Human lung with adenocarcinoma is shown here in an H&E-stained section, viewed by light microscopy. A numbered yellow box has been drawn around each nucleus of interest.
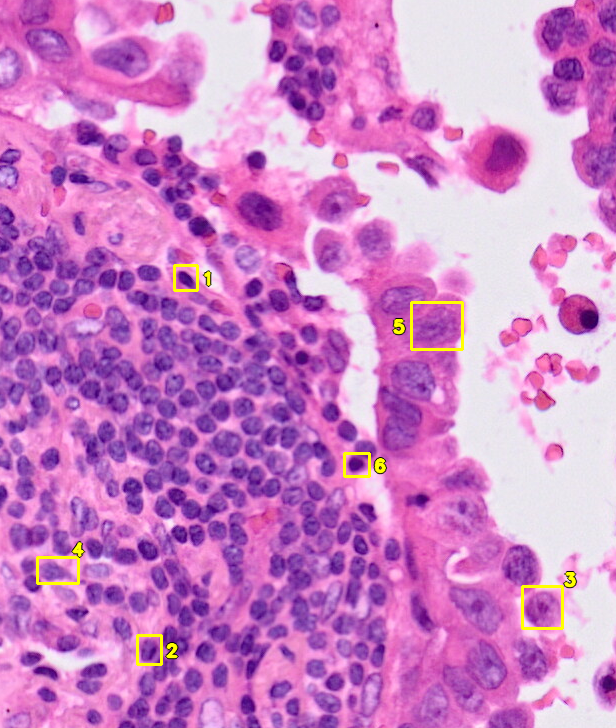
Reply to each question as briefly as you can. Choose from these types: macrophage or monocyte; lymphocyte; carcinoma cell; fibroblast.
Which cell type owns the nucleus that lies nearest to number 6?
lymphocyte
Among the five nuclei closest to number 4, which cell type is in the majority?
lymphocyte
